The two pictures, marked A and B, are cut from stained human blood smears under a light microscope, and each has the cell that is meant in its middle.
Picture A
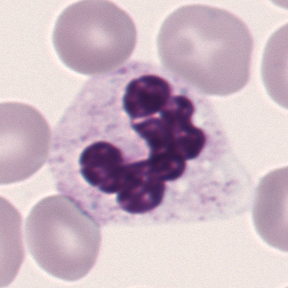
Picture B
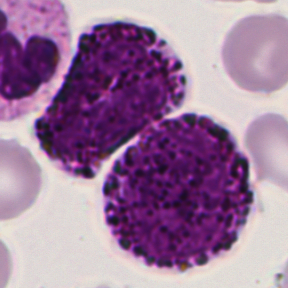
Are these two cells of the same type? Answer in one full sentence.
No; the cell in picture A is a segmented neutrophil, while the one in picture B is a basophil.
